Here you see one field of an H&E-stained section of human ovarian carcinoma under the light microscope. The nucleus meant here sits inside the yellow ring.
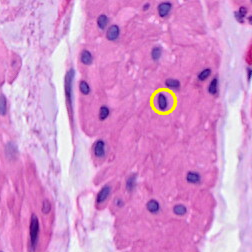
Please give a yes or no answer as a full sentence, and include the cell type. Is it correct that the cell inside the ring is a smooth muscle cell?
Yes, calling the cell inside the ring a smooth muscle cell is correct.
